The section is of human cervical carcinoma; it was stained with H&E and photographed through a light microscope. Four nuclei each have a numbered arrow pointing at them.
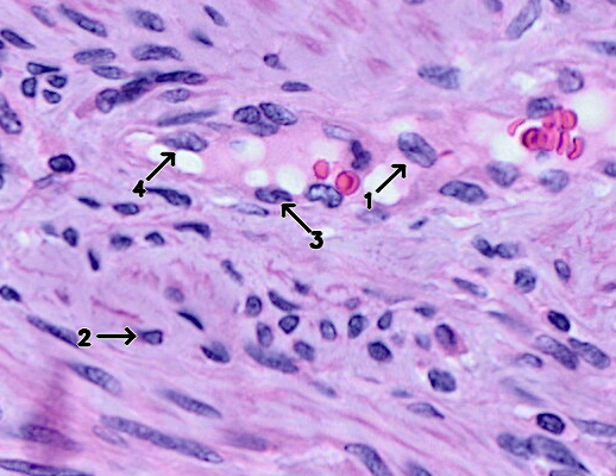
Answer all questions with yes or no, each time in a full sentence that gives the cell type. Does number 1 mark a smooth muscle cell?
No, cell 1 does not count as a smooth muscle cell; it is an endothelial cell.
